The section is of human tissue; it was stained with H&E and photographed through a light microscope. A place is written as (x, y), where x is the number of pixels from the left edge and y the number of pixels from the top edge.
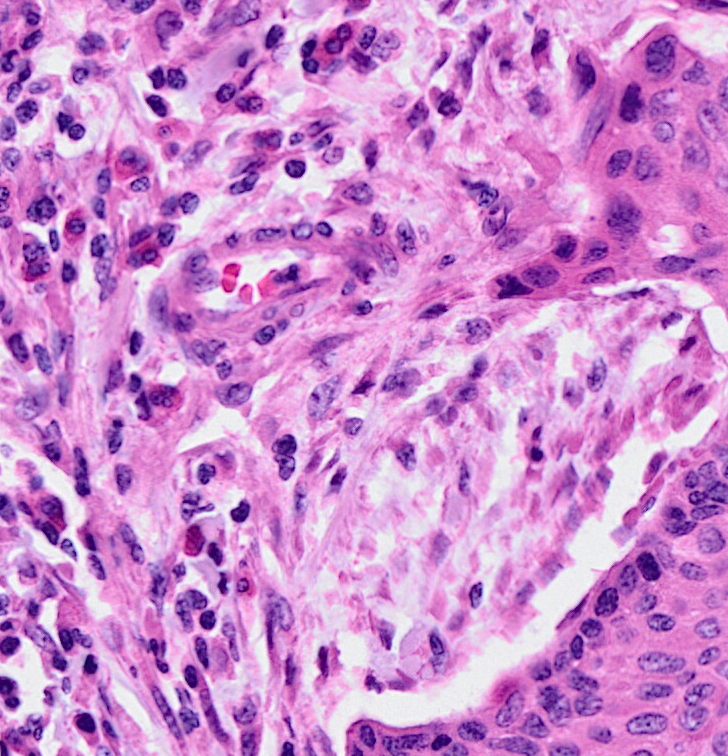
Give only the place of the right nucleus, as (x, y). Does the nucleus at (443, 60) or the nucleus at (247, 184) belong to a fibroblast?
(443, 60)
